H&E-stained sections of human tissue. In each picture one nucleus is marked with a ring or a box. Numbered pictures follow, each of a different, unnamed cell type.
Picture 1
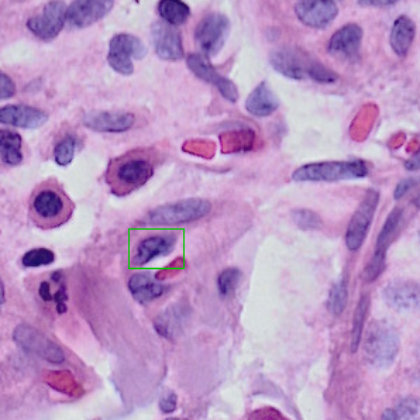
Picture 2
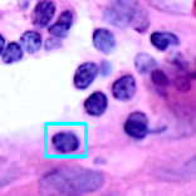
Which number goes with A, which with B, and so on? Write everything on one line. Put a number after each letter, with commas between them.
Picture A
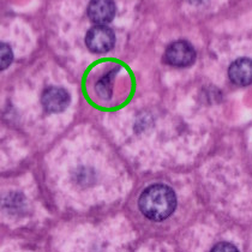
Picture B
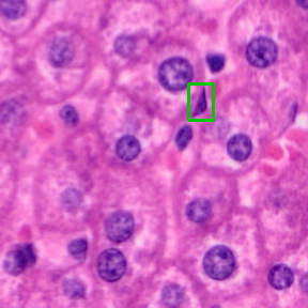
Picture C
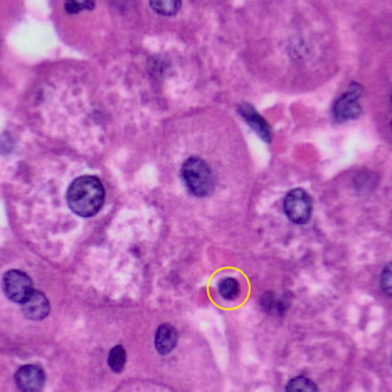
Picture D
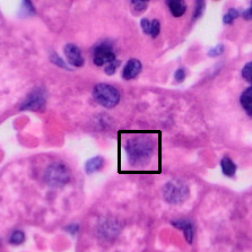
A 1, B 1, C 2, D 1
